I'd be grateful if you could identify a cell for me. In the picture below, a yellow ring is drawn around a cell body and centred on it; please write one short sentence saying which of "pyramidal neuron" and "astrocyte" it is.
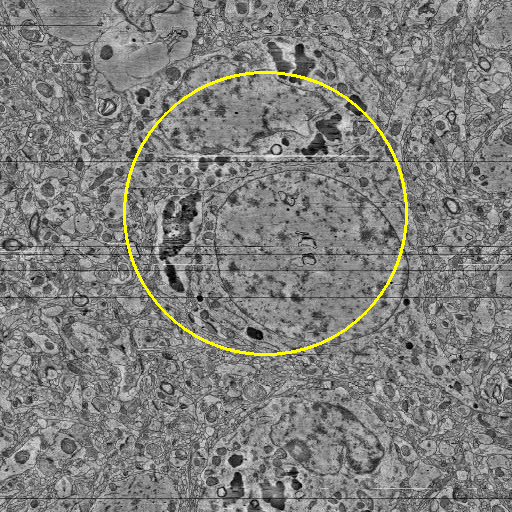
The cell under the ring's centre is a pyramidal neuron.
